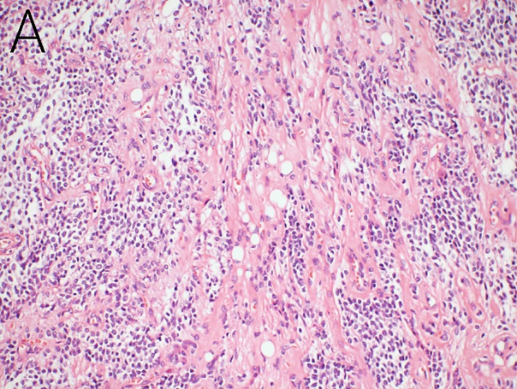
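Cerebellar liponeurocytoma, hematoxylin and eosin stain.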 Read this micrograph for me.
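This lower-power view shows a cellular tumor made of many small round cells with dark purple nuclei. The cells grow in sheets and cords separated by bands of pink fibrous stroma. Small round clear vacuoles, resembling fat cells, are scattered among the tumor cells. Small blood vessels run through the stroma.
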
